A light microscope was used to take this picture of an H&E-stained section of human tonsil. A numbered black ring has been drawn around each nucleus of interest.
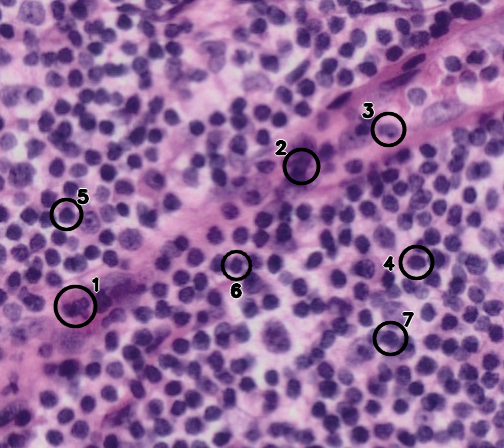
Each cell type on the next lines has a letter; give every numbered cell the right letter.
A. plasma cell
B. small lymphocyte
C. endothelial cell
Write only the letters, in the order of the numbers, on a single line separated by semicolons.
C; C; C; B; B; B; B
